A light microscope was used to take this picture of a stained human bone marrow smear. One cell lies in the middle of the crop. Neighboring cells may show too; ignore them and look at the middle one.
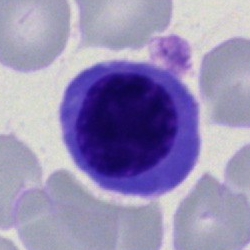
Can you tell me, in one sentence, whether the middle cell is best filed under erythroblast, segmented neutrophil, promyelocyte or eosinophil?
Looking at the middle of the crop, the cell there is an erythroblast.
